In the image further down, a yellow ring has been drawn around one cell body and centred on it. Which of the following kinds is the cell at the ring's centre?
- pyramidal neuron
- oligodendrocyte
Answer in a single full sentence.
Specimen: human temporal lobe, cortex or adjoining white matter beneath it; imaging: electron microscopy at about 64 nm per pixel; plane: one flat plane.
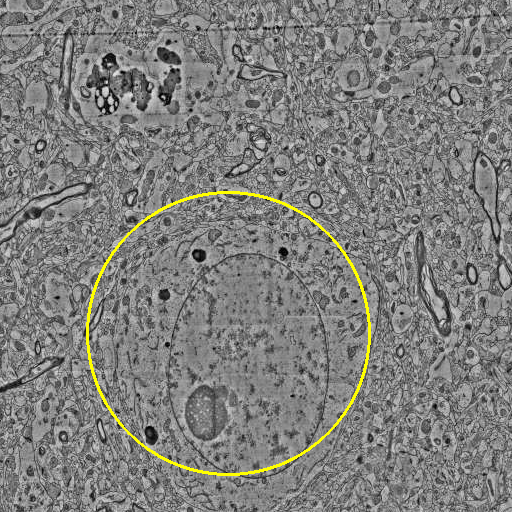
In the picture, the cell sitting at the centre of the yellow ring is a pyramidal neuron.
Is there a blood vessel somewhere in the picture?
No.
